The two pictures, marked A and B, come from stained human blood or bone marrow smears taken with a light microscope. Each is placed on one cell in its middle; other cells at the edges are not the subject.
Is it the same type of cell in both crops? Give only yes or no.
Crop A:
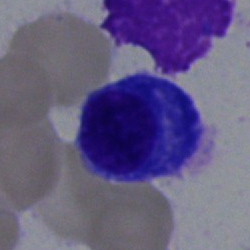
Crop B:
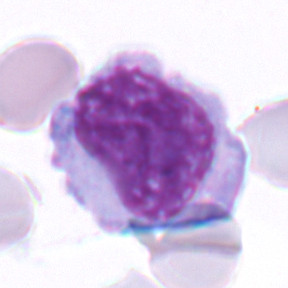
yes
